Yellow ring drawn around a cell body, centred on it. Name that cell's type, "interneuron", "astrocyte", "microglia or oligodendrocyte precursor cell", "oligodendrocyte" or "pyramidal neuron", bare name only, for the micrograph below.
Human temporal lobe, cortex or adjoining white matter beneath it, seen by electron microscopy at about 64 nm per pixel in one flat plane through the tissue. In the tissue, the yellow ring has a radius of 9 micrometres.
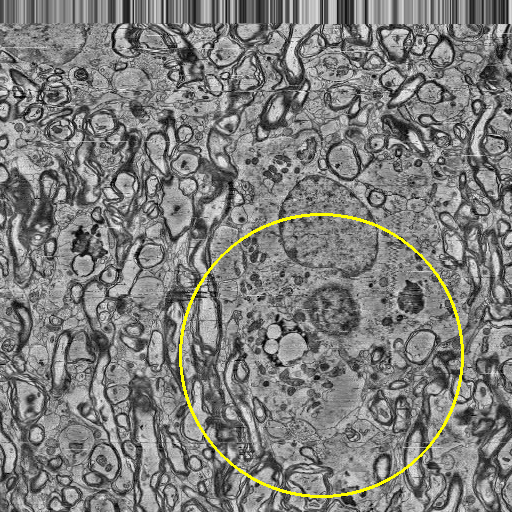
astrocyte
